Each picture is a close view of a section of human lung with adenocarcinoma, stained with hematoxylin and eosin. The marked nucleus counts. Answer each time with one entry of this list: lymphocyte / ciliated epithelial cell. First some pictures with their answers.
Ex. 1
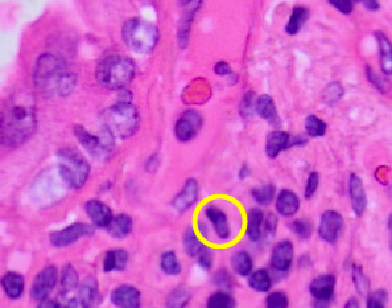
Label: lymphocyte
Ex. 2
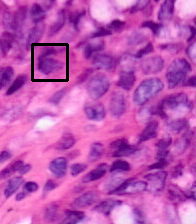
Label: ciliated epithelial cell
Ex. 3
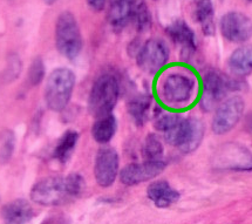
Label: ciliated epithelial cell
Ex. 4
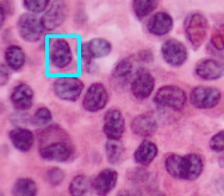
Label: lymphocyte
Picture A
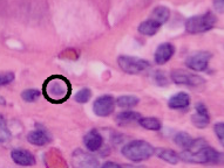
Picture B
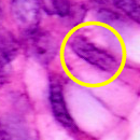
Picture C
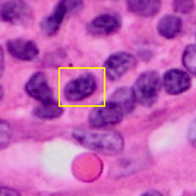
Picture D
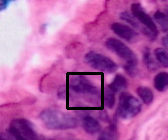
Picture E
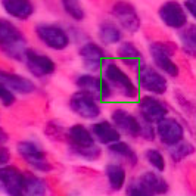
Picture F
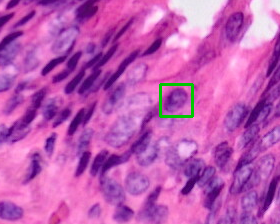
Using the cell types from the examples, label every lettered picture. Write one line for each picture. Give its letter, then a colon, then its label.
A: lymphocyte
B: ciliated epithelial cell
C: lymphocyte
D: ciliated epithelial cell
E: lymphocyte
F: ciliated epithelial cell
